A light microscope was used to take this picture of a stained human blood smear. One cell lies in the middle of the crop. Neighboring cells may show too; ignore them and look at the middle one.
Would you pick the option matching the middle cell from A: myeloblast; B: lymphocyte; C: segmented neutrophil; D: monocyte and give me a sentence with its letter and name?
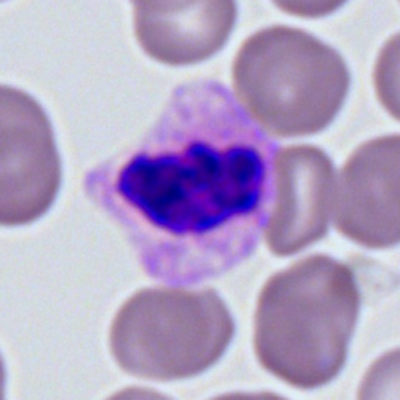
The cell placed in the middle is a segmented neutrophil; option C is correct.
